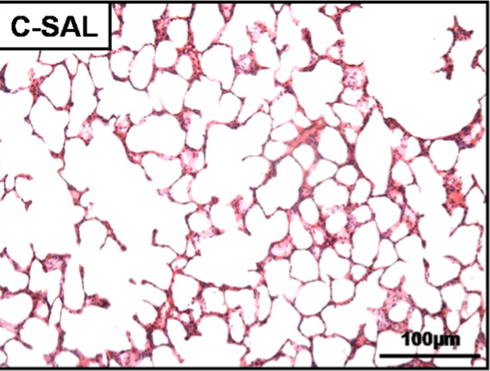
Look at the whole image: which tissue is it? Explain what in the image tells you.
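Lung parenchyma. Many clear, polygonal air spaces separated by thin septa. The septa are delicate pink strands with scattered purple nuclei. A few larger open spaces lie among the small alveoli.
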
